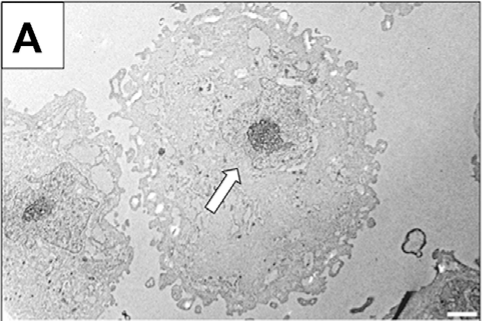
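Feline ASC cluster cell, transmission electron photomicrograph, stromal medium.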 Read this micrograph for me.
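Near the centre lies a nucleus, appearing as a denser rounded area with a darker compact body inside. The cytoplasm between nucleus and margin is pale and contains scattered small clear spaces. Part of a similar neighbouring cell is visible at the left edge.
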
